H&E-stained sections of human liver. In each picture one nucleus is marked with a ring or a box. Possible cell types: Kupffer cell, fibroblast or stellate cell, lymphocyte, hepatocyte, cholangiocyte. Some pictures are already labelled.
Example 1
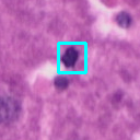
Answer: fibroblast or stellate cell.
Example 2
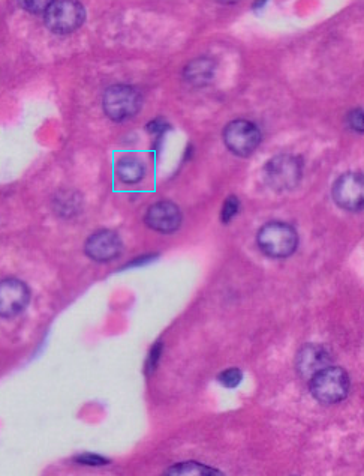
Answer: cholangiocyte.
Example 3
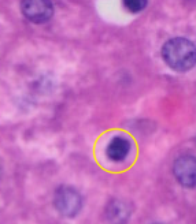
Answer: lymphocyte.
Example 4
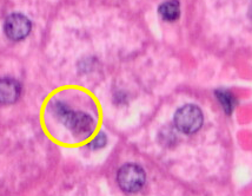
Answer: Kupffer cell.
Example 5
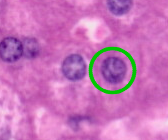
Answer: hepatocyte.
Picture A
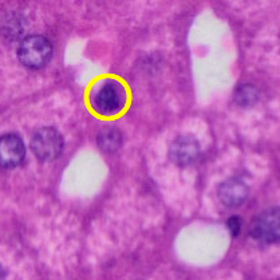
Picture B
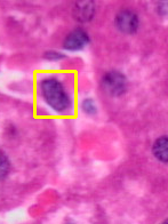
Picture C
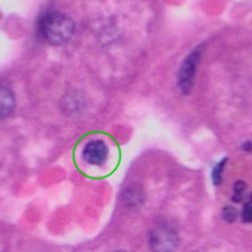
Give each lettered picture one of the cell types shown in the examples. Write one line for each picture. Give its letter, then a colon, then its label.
A: fibroblast or stellate cell.
B: Kupffer cell.
C: lymphocyte.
